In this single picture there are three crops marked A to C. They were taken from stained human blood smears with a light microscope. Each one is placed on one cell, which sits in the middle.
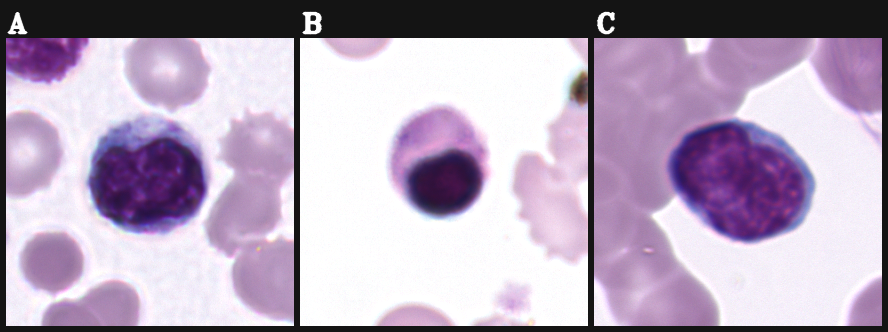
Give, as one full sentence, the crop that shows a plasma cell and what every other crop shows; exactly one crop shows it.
The cell of interest in crop A is a plasma cell, while crop B is a normoblast and crop C is a typical lymphocyte.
